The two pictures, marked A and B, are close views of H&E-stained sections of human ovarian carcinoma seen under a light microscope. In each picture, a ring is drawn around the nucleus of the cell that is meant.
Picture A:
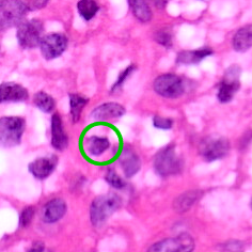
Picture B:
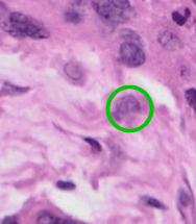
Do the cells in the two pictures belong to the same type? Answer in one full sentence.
No, the types are not the same, since picture A shows a “macrophage or monocyte” and picture B a fibroblast.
